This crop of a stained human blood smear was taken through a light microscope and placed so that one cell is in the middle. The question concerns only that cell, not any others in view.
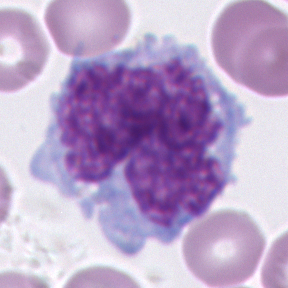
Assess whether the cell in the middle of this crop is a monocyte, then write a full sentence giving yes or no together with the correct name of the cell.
Yes, the cell in the centre is a monocyte.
